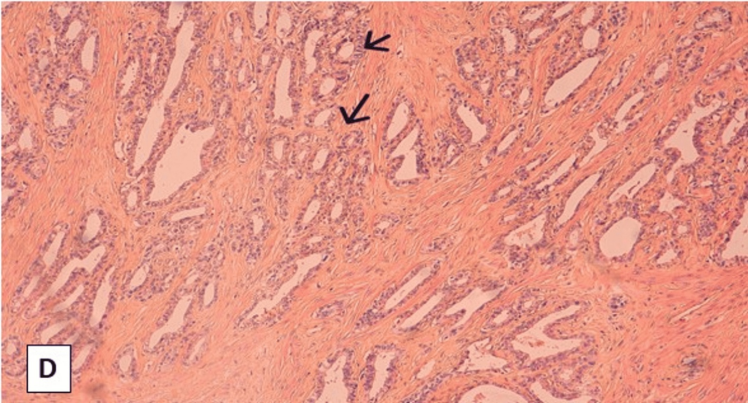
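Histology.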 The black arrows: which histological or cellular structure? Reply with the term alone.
Glandular structures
